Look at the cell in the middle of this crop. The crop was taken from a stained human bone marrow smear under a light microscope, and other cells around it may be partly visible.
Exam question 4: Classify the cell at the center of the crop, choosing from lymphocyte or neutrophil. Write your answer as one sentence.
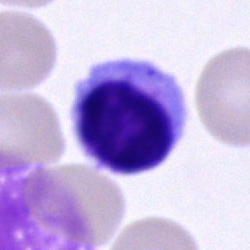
In the centre of this crop there is a lymphocyte.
